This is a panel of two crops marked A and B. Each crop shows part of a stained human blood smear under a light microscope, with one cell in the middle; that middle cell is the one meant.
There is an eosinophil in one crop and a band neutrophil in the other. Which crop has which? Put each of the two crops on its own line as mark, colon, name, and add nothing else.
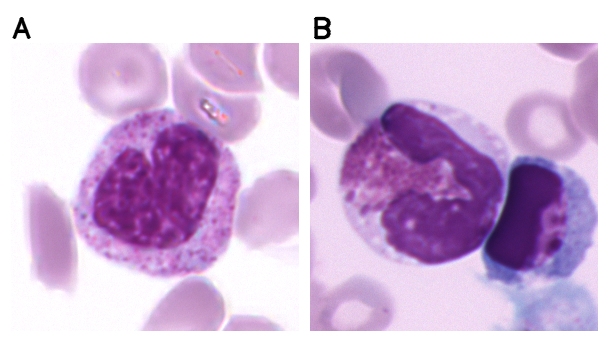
A: band neutrophil
B: eosinophil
